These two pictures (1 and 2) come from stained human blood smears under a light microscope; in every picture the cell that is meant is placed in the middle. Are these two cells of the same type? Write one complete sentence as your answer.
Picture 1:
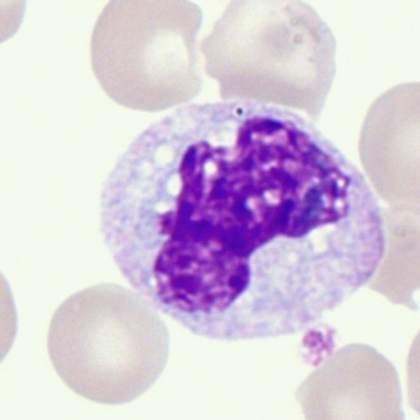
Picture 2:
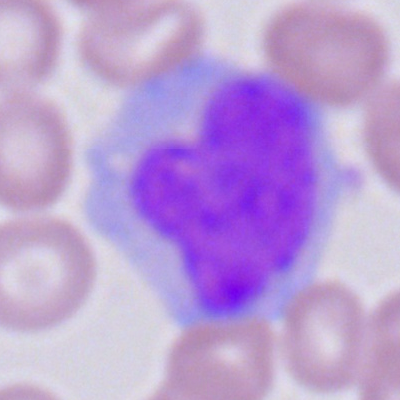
Yes; the cells in both pictures are monocytes.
